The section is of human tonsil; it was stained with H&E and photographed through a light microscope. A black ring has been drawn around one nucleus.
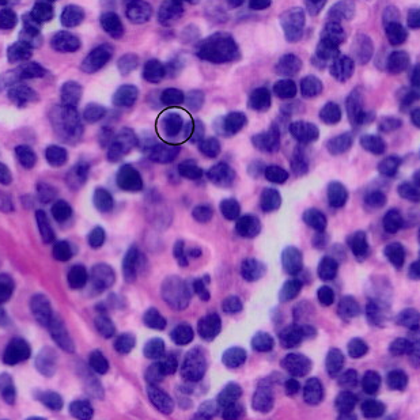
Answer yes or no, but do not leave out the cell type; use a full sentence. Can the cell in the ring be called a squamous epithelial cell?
No, write a small lymphocyte for the cell in the ring rather than a squamous epithelial cell.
